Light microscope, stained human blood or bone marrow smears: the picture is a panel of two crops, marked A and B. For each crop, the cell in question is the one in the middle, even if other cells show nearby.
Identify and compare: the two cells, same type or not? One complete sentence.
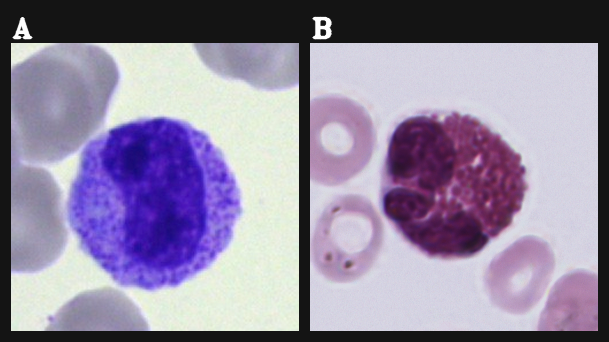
No, what crop A shows is a metamyelocyte, and what crop B shows is an eosinophil.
